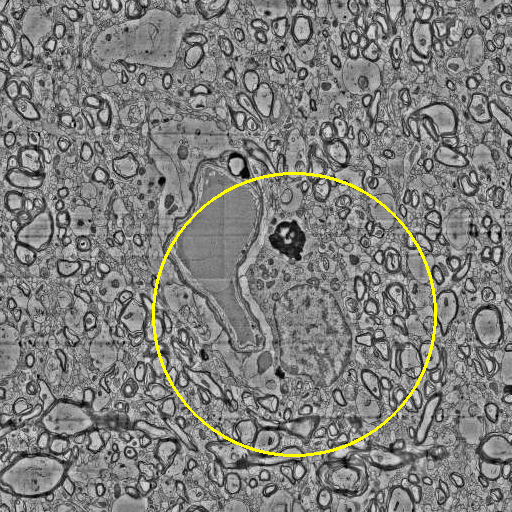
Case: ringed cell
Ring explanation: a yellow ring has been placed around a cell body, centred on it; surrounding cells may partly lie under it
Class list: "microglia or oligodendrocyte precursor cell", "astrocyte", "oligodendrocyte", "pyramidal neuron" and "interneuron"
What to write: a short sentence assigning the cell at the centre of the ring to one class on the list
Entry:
The cell at the ring's centre is an oligodendrocyte.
